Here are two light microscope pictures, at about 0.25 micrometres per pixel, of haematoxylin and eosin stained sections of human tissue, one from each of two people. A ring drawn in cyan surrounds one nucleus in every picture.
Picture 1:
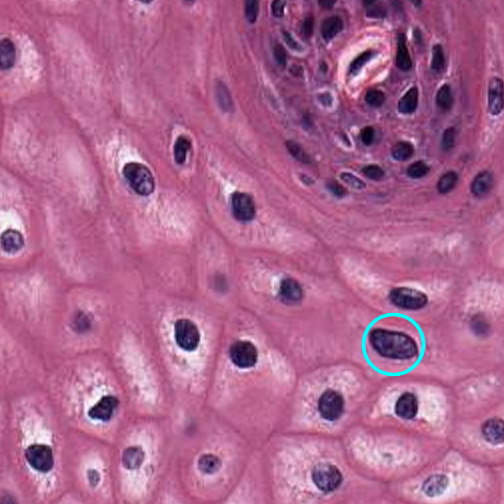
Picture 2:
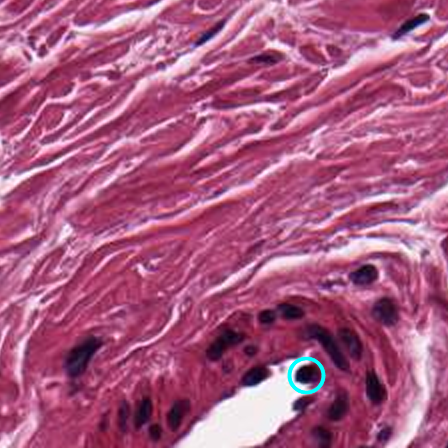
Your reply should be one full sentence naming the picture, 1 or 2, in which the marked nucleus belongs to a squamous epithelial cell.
Picture 1 has its marked nucleus belonging to a squamous epithelial cell; the other picture does not.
